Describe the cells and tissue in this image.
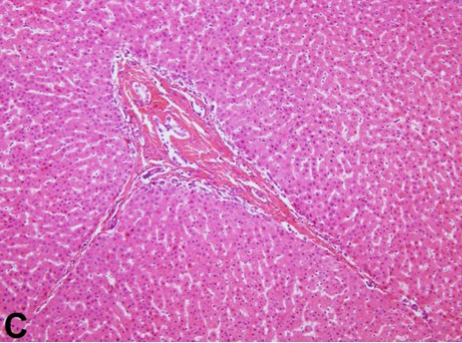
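A triangular area of dense pink fibrous stroma sits in the middle of the liver, with a thin fibrous strand trailing off from one corner, and it holds a few small lumens lined by small cells. Around it, liver cells with round central nuclei and pink cytoplasm form cords separated by narrow sinusoidal spaces. This is a portal tract with dense stromal collagen in otherwise preserved liver tissue.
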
